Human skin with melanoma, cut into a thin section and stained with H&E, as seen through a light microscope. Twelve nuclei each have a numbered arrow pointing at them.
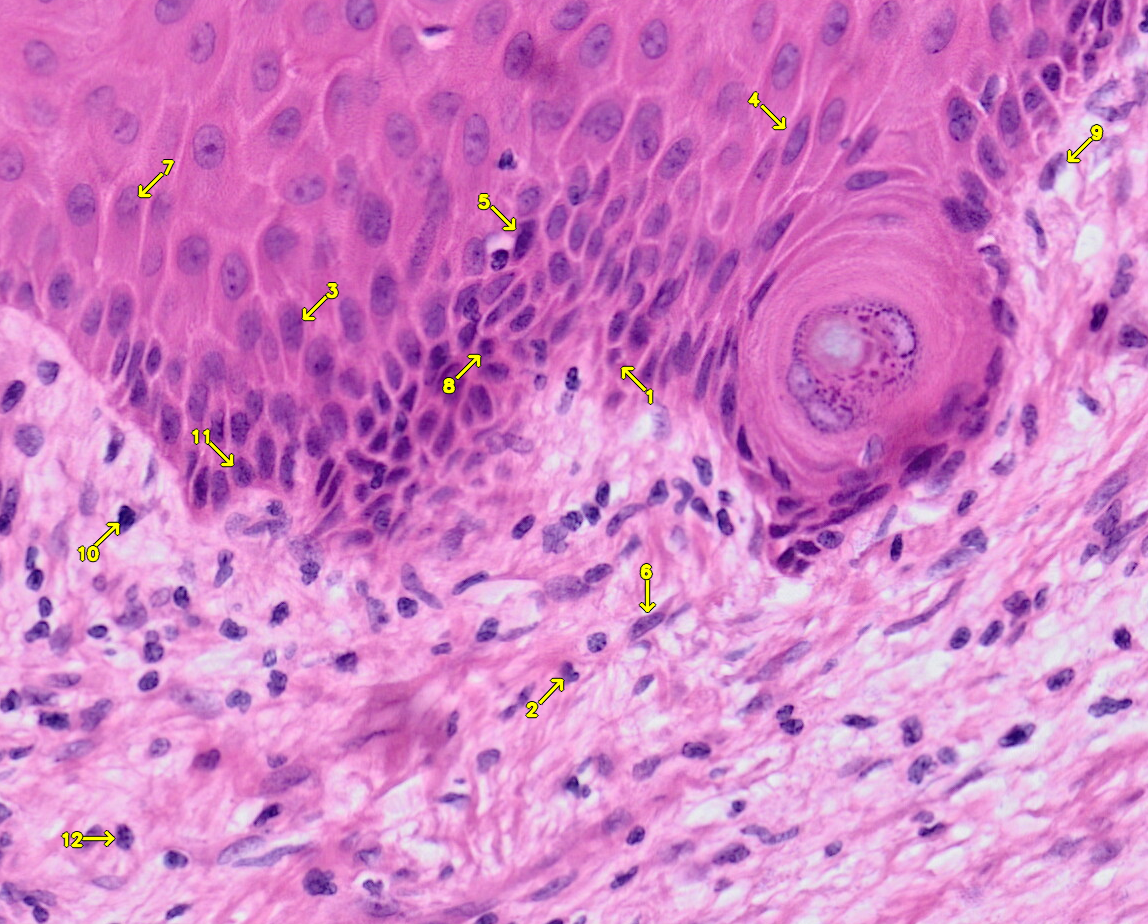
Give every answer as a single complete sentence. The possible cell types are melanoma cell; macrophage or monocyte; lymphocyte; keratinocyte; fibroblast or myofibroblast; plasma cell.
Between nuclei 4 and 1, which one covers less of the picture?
With nucleus 4 about 3 times its size, nucleus 1 is the smaller of the two.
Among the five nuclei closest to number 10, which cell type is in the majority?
Fibroblasts or myofibroblasts make up most of the five nuclei closest to number 10.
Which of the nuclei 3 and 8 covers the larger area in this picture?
Nucleus 3 is the larger one, covering about 2.5 times the area of nucleus 8.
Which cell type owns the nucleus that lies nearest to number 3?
The cell nearest to number 3 is a keratinocyte.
